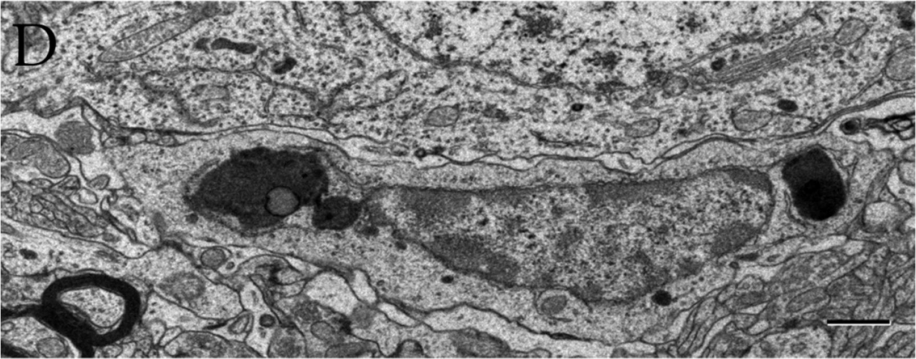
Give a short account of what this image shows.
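A spindle-shaped microglial cell lies in the neuropil just beneath a neuron, whose cytoplasm fills the upper part of the view. Its elongated nucleus shows clumped, electron-dense chromatin. Very electron-dense bodies lie at the ends of the cell, and the cytoplasm forms only a narrow rim around the nucleus. The neuropil below contains many small profiles and a myelinated axon at the lower left.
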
